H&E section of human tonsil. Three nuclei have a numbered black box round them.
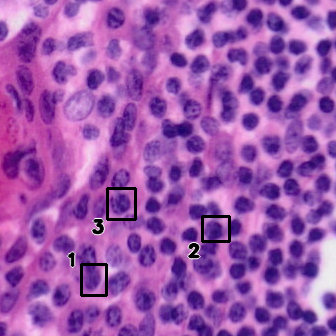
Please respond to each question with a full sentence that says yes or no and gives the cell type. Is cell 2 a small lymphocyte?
Yes, the cell that has number 2 is a small lymphocyte.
